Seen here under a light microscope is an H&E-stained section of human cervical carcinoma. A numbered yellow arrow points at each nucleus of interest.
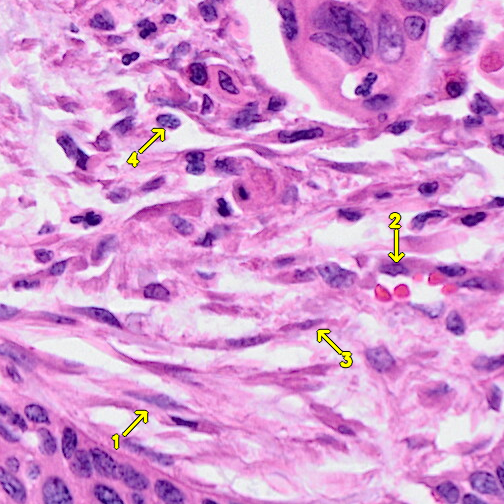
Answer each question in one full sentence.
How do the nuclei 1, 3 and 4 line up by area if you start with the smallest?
By area, going up from the smallest, they rank 3, 4, 1.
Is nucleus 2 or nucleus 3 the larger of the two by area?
The larger nucleus is 2, at roughly 1.5 times the area of 3.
